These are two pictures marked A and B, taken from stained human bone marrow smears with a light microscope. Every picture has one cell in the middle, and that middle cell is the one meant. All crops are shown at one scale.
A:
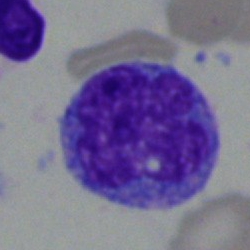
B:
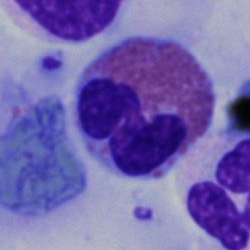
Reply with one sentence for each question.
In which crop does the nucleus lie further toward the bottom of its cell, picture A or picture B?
It is the nucleus in picture B that lies further toward the bottom of its cell.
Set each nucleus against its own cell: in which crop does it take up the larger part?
It is the cell in picture A that is filled more by its nucleus.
